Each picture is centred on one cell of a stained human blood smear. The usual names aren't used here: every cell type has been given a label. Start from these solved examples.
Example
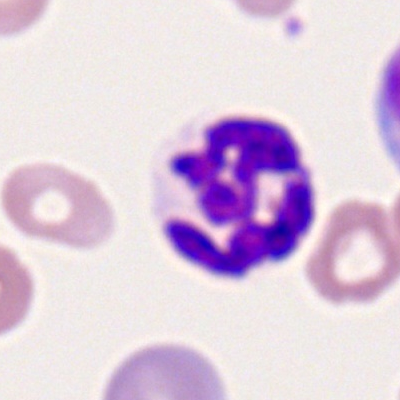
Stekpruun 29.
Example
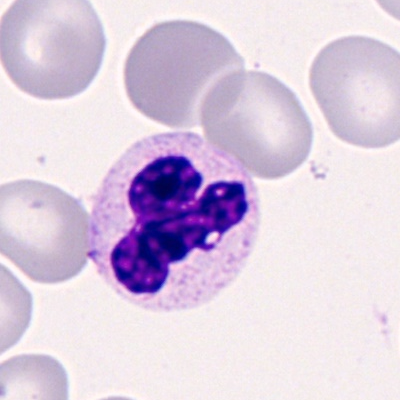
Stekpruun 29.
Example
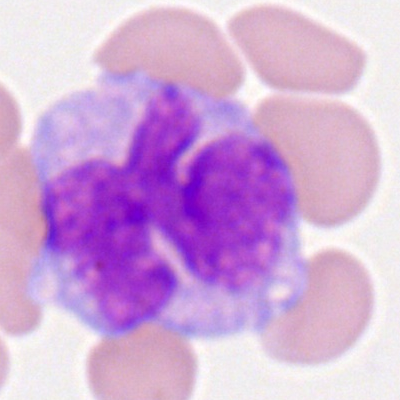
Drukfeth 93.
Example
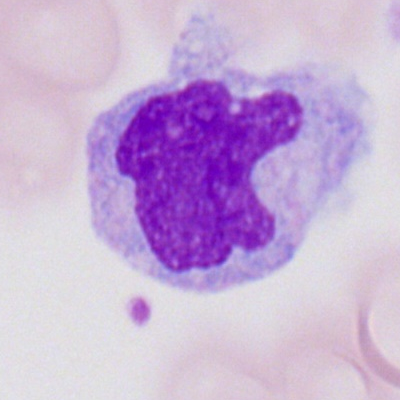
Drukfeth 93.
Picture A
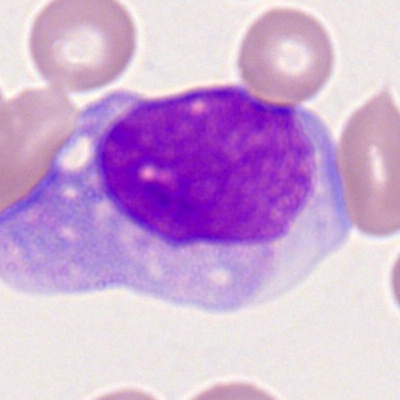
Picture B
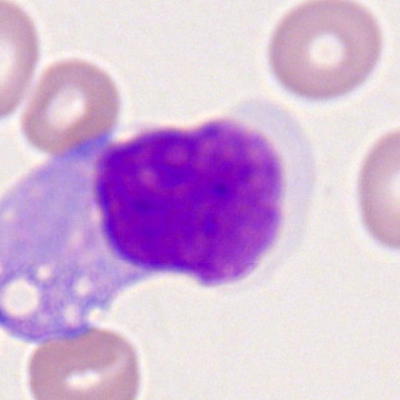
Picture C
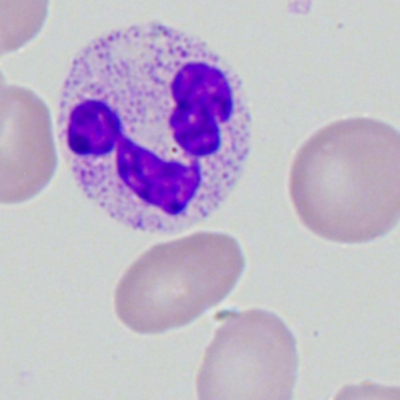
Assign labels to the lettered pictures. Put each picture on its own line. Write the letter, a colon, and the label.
A: Drukfeth 93.
B: Drukfeth 93.
C: Stekpruun 29.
